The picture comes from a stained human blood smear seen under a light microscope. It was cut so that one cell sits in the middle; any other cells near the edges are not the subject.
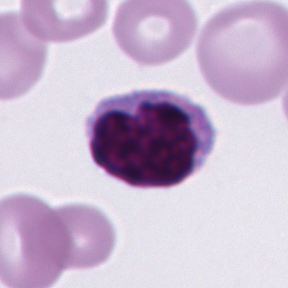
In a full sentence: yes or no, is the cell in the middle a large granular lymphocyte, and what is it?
No; rather than a large granular lymphocyte, the cell at the center is a typical lymphocyte.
